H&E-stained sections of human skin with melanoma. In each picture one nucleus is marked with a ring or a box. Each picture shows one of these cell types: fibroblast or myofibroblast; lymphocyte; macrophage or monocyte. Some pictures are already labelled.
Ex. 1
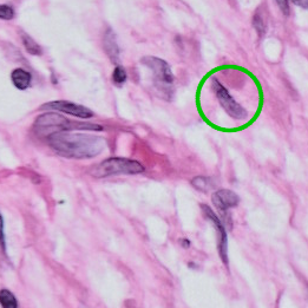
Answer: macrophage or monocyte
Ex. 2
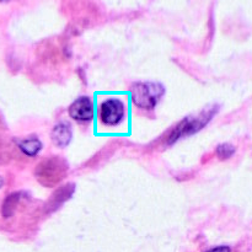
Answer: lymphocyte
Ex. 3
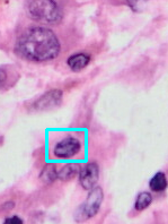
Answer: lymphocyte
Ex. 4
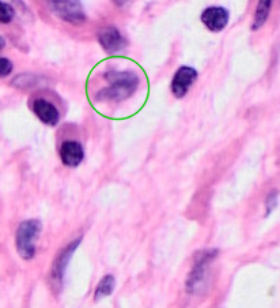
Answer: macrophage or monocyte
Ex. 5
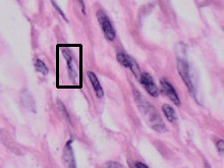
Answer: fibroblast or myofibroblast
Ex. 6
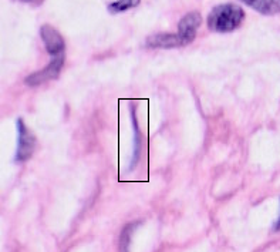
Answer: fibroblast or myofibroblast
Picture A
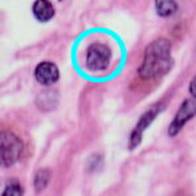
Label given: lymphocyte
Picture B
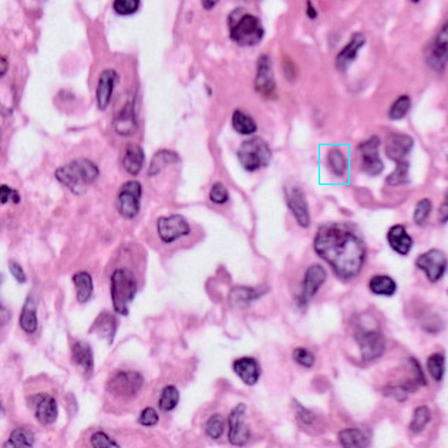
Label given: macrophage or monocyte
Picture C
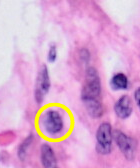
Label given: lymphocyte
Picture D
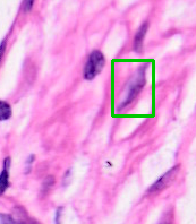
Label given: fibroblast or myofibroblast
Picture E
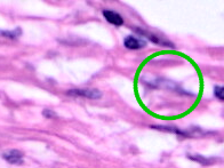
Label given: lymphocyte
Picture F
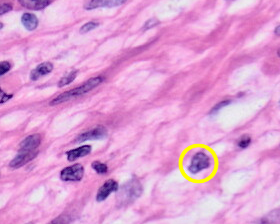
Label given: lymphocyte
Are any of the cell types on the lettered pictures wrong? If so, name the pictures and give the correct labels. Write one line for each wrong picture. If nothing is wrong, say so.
Wrong: E (lymphocyte); correct: fibroblast or myofibroblast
